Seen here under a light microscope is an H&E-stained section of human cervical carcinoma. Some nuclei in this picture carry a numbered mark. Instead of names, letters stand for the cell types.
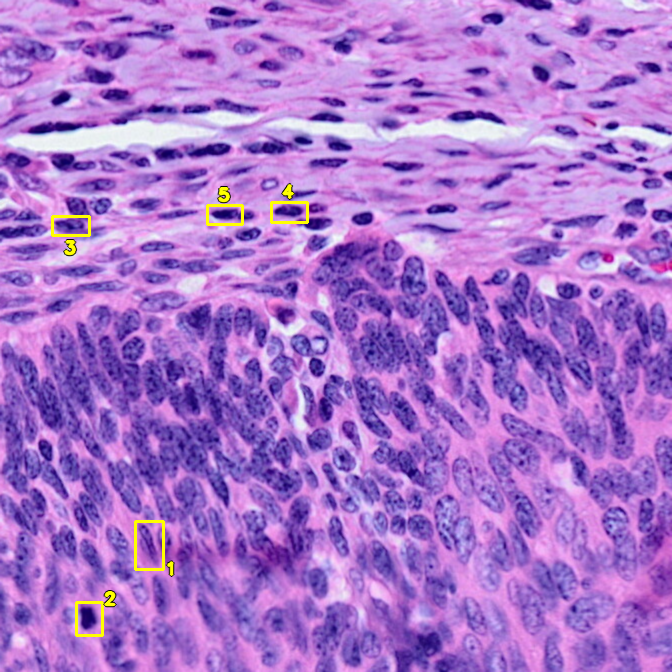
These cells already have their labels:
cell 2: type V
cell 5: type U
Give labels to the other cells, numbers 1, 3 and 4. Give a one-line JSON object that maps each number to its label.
{"1": "type V", "3": "type U", "4": "type U"}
